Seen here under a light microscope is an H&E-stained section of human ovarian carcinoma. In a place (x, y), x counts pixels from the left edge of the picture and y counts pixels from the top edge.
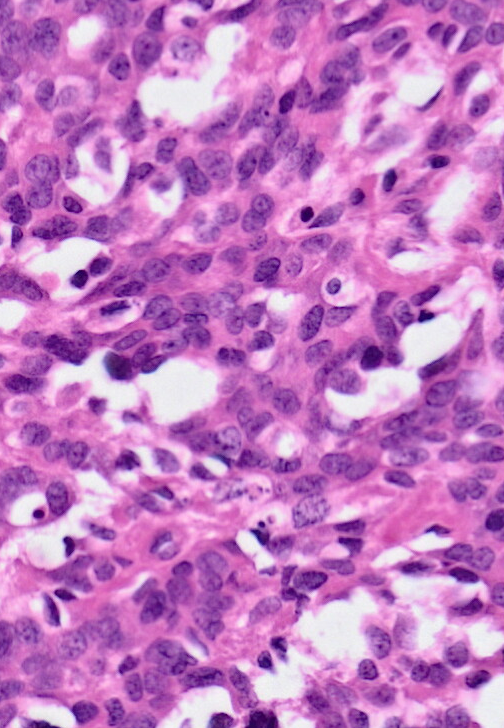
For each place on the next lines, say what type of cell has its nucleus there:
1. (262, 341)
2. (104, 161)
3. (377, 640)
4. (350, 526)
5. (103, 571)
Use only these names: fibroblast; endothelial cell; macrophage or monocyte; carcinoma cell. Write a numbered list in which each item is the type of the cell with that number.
1. carcinoma cell
2. carcinoma cell
3. macrophage or monocyte
4. carcinoma cell
5. macrophage or monocyte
